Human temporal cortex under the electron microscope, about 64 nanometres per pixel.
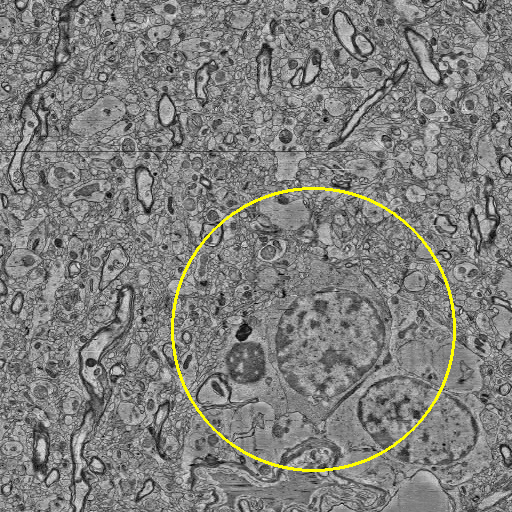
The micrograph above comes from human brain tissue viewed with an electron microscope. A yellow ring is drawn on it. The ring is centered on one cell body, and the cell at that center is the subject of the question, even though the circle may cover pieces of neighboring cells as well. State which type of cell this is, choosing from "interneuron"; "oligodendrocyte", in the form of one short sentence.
The cell the ring is centered on is an oligodendrocyte.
